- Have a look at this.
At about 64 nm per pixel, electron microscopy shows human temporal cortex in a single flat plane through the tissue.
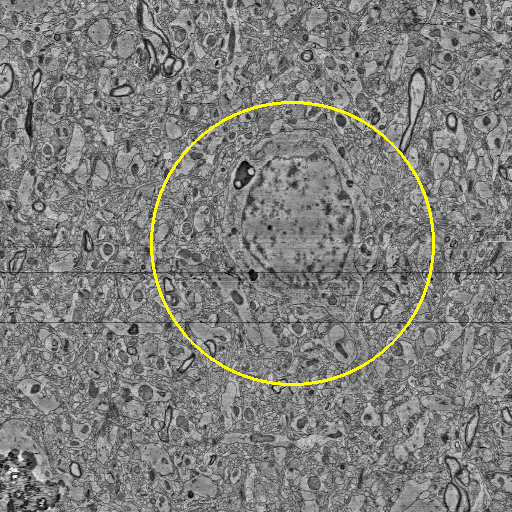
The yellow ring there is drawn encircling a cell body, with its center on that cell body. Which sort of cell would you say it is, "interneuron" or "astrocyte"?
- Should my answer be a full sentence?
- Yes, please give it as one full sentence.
For this picture, an interneuron is the cell where the yellow ring has its center.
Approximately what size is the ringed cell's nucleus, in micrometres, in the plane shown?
About 9 by 7 micrometers, in this plane.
